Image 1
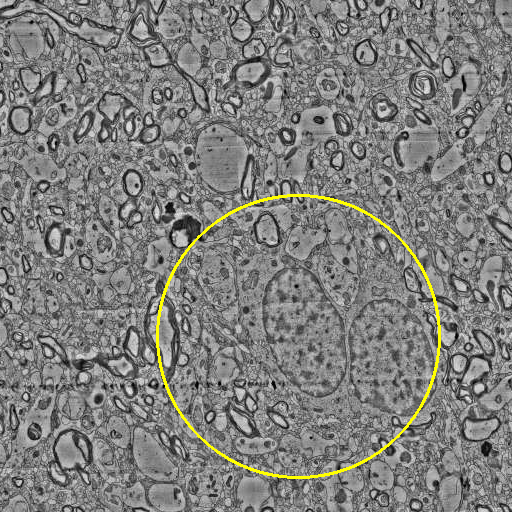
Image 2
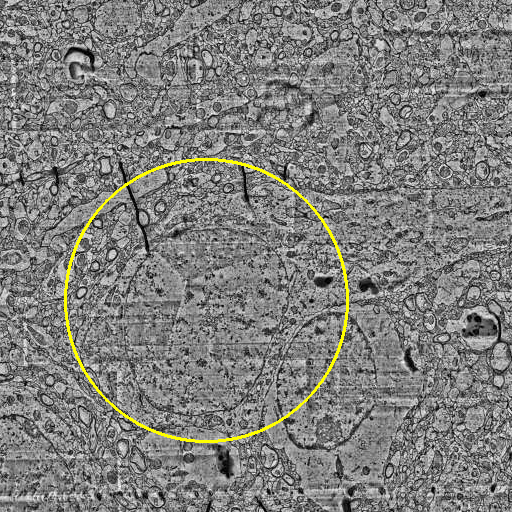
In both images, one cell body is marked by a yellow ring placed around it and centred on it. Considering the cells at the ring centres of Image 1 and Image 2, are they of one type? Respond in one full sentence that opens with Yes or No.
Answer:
No, two types apply to the ring-centred cells of Image 1 and Image 2.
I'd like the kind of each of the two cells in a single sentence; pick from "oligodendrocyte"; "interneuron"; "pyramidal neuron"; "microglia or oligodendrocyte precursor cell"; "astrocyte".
The first ring marks an oligodendrocyte, and the second ring marks a pyramidal neuron.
